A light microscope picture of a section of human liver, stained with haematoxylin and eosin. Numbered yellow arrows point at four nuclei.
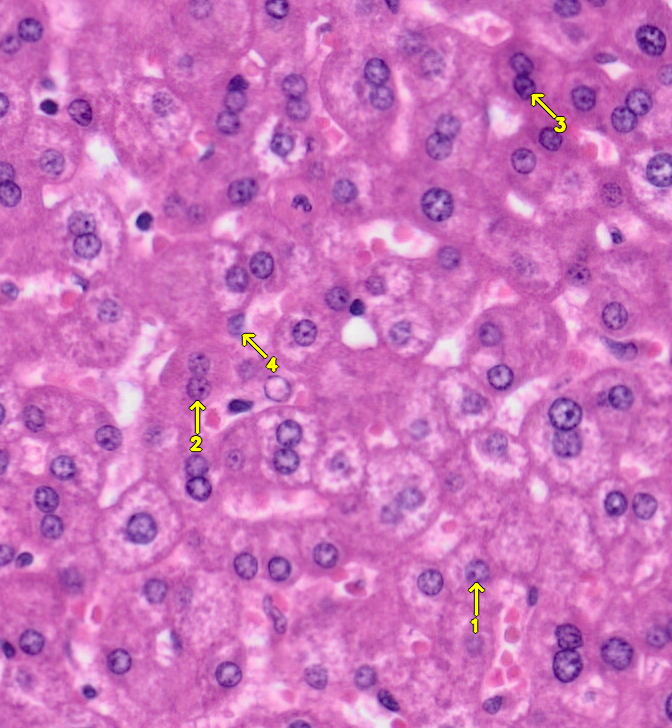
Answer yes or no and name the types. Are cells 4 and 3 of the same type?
No, classify cell 4 as an endothelial cell and cell 3 as a hepatocyte.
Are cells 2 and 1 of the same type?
Yes, the two cells marked 2 and 1 are both hepatocytes.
